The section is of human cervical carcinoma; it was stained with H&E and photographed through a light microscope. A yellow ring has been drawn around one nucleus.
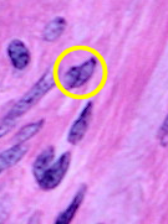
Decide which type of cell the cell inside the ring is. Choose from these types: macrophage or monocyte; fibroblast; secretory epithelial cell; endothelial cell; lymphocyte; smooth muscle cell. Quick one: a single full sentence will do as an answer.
The category to which the cell inside the ring belongs is that of a smooth muscle cell.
